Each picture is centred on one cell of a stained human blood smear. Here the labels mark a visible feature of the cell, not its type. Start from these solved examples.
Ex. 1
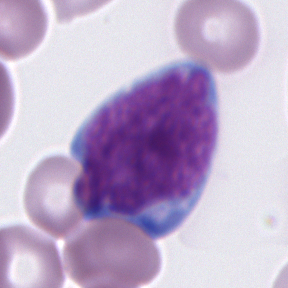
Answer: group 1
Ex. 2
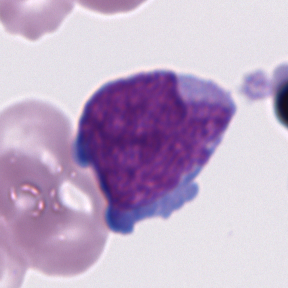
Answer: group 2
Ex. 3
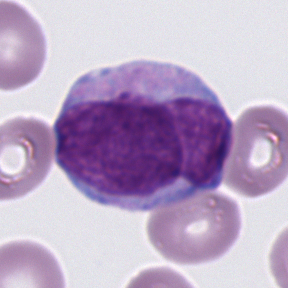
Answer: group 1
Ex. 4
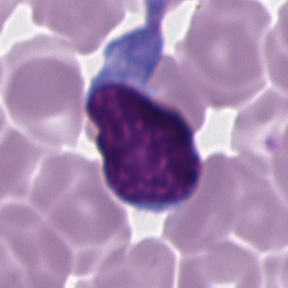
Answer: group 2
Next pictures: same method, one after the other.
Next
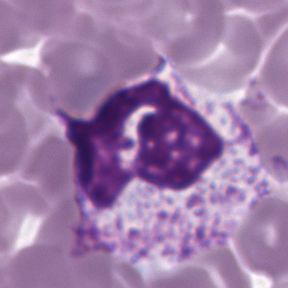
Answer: group 2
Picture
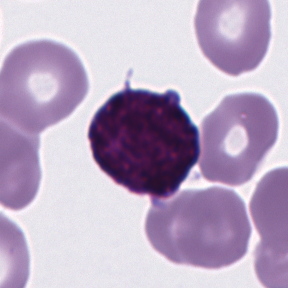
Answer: group 2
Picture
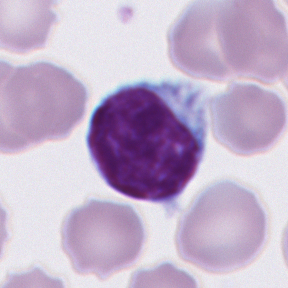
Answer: group 2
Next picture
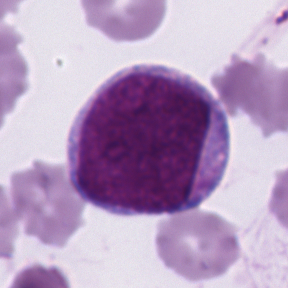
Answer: group 1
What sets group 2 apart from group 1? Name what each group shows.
Seen in group 2: ragged outline or projections; seen in group 1: smooth outline.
